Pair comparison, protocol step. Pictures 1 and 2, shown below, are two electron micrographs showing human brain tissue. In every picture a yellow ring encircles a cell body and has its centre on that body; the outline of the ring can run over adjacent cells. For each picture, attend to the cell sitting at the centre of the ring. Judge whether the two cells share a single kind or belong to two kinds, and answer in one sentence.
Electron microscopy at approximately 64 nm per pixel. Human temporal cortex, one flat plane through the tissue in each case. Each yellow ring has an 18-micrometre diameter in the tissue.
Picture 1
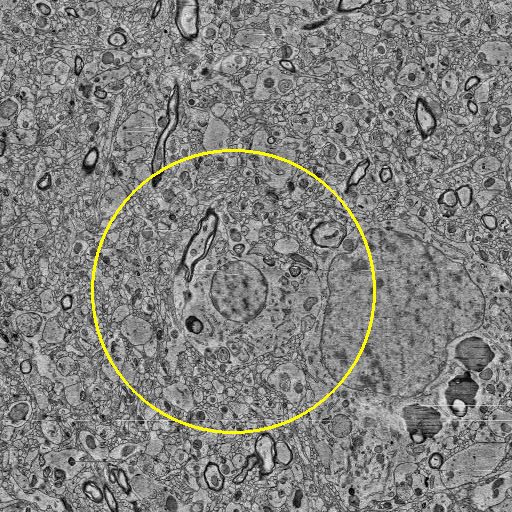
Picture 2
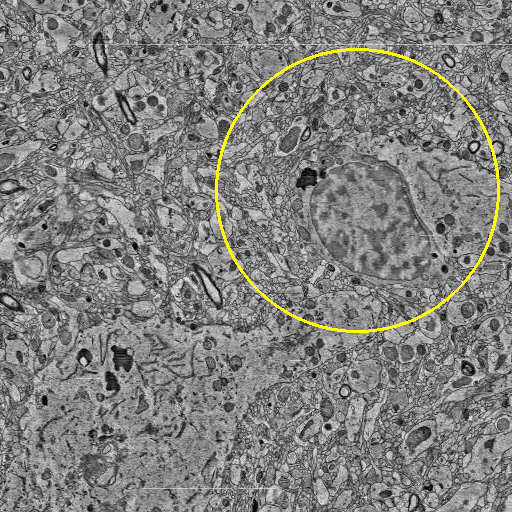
The two cells at the ring centres in Picture 1 and Picture 2 belong to two kinds.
